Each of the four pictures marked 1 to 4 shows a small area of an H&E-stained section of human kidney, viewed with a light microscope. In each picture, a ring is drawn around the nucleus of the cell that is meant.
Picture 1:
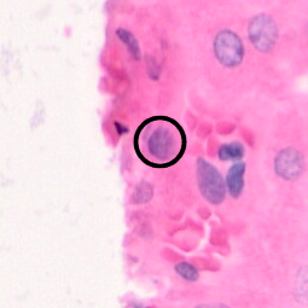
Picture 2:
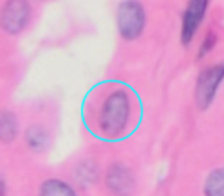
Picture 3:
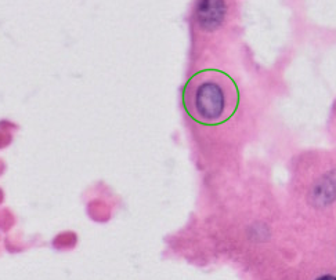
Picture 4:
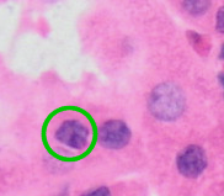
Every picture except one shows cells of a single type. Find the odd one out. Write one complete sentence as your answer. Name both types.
Picture 2 differs, because its cell is a “loop of Henle or distal tubule cell” and the rest are proximal tubule cells.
